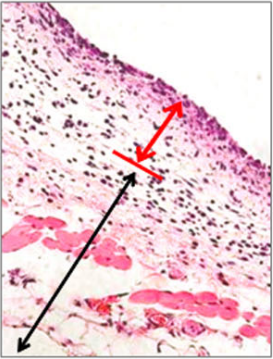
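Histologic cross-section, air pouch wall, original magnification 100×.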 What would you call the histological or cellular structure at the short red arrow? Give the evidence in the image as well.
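The red arrow spans the surface layer of the wall. That layer is densely packed with small dark nuclei.
Membrane.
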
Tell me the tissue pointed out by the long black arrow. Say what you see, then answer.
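The black arrow spans the deeper part of the wall beneath the cellular surface layer. This part holds loose pale connective tissue and pink striated muscle bundles.
Cutaneous soft tissue.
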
